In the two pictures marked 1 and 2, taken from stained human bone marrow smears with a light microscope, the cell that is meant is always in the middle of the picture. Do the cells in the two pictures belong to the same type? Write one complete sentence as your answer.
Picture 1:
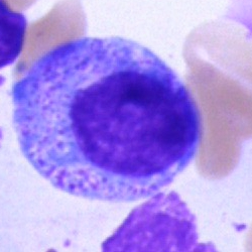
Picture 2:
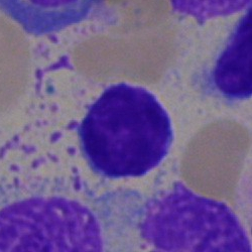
No, picture 1 shows a promyelocyte and picture 2 shows a lymphocyte.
